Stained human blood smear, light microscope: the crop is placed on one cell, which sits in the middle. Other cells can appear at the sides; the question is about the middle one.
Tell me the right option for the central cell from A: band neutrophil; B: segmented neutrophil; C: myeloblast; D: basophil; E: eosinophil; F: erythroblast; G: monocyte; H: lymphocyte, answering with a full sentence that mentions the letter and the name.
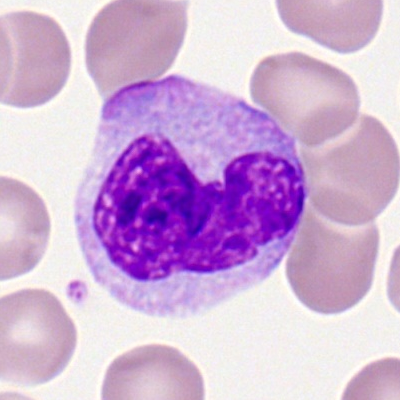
The cell placed in the middle is a monocyte; option G is correct.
